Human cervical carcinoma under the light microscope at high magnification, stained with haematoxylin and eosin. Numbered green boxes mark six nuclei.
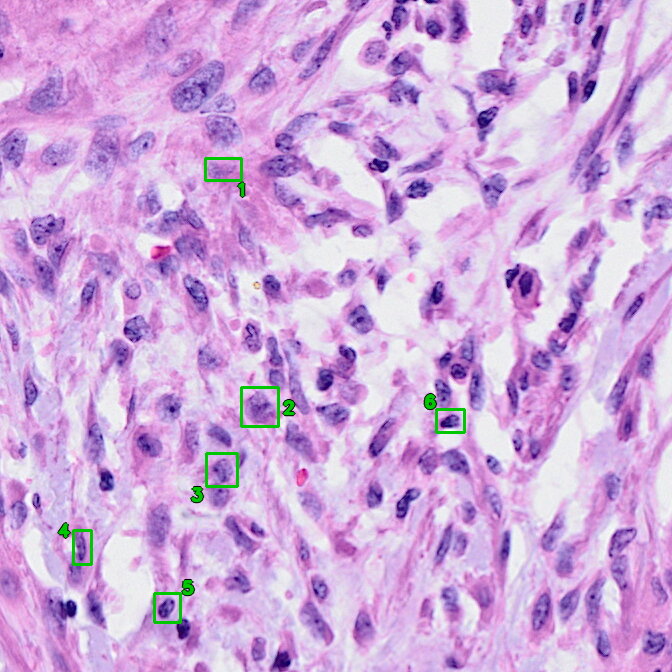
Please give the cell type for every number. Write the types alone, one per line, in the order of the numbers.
fibroblast
fibroblast
fibroblast
endothelial cell
lymphocyte
lymphocyte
